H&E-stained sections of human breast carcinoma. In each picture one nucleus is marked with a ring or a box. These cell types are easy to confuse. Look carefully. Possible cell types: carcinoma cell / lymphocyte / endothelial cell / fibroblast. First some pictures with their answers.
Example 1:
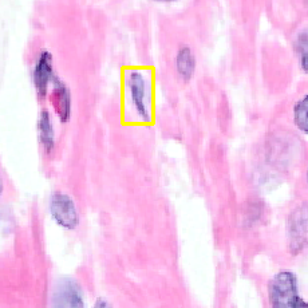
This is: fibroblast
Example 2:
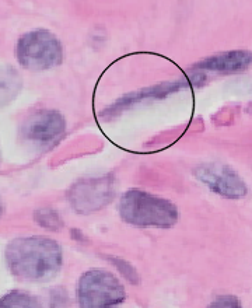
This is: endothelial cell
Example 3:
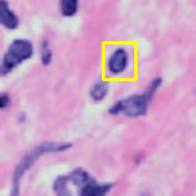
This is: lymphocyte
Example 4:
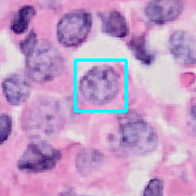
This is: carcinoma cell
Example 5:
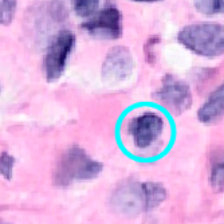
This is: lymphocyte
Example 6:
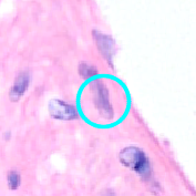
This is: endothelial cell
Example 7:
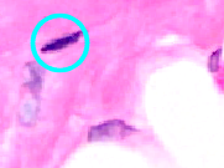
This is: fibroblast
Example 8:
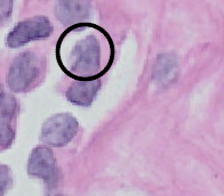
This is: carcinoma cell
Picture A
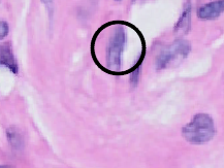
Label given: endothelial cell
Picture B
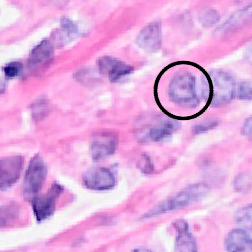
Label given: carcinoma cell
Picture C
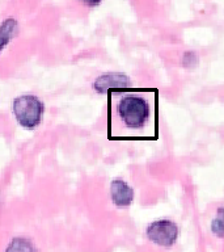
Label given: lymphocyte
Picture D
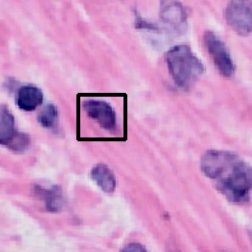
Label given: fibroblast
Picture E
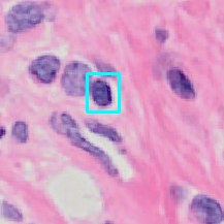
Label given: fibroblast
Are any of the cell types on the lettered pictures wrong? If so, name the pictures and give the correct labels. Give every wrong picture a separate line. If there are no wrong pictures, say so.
D: lymphocyte, not fibroblast
E: lymphocyte, not fibroblast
